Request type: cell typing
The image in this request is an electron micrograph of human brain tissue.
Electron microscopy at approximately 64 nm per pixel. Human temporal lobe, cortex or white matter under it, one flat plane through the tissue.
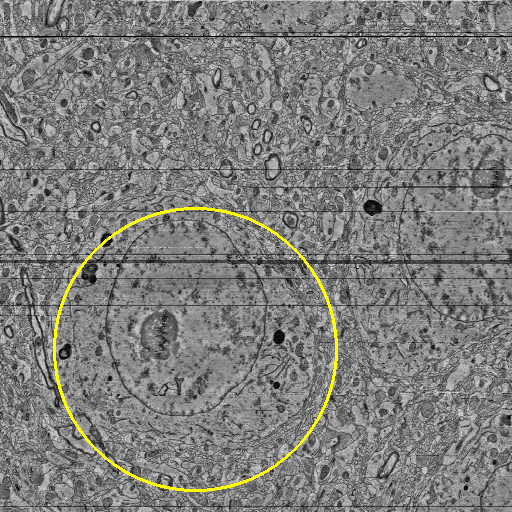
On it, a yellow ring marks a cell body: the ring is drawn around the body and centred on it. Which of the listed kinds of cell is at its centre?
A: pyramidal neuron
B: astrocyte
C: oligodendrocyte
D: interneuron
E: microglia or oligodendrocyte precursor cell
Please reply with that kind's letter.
A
